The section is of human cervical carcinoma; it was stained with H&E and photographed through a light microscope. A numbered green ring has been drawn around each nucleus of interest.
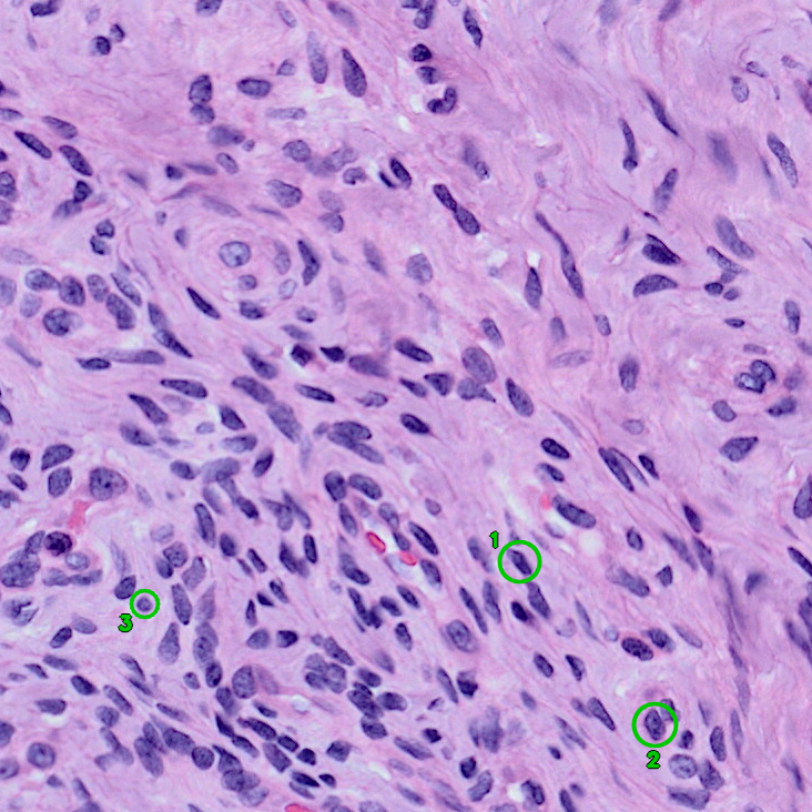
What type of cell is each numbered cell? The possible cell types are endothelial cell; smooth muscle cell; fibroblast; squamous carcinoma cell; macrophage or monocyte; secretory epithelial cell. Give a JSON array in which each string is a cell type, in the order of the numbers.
["fibroblast", "endothelial cell", "fibroblast"]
